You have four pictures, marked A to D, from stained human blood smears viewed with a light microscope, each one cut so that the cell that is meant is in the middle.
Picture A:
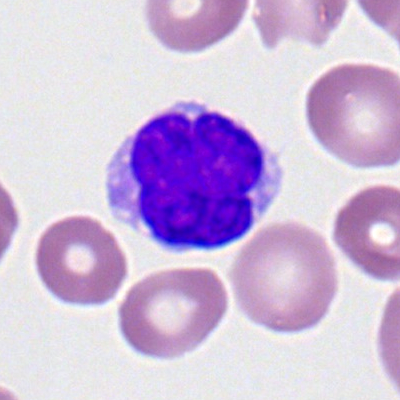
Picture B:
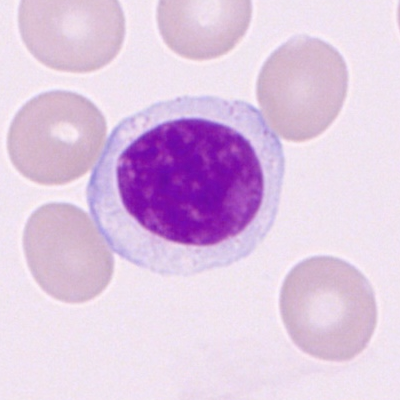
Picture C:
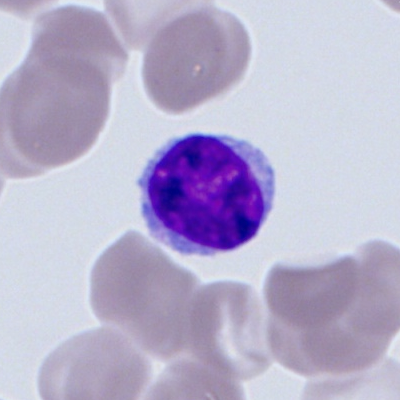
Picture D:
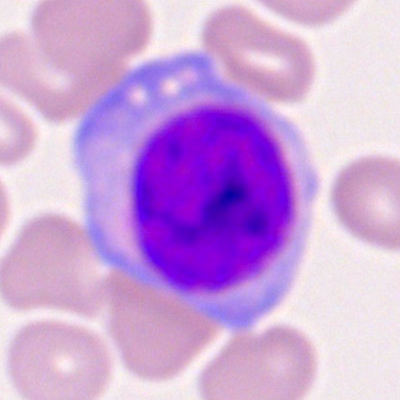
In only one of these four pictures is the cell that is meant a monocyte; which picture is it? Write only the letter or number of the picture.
D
